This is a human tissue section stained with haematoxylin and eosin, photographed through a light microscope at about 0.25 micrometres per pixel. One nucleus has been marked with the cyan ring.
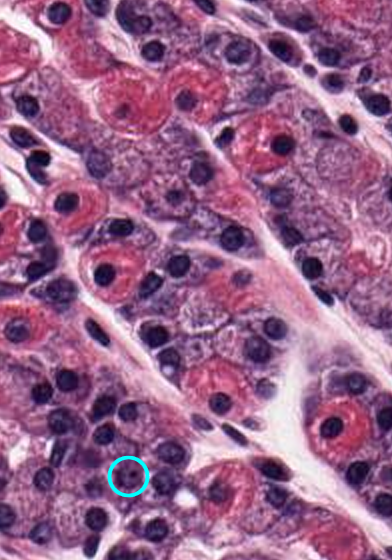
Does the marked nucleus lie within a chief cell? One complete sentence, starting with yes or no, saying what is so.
Yes, the marked nucleus is in a chief cell.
